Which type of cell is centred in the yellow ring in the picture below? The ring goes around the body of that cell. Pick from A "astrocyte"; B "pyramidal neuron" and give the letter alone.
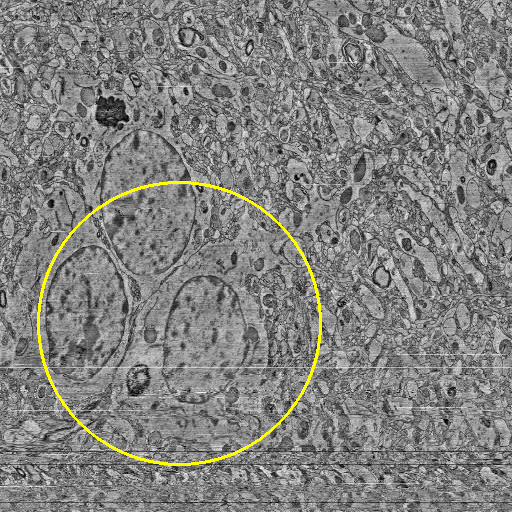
A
